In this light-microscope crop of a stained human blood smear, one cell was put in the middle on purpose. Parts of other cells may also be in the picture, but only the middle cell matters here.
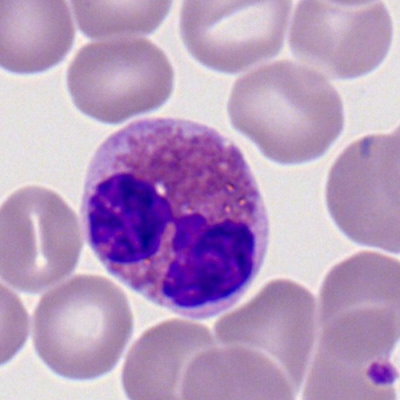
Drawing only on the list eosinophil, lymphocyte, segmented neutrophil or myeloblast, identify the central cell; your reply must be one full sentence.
The target cell in the middle of the crop is an eosinophil.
